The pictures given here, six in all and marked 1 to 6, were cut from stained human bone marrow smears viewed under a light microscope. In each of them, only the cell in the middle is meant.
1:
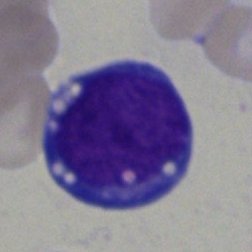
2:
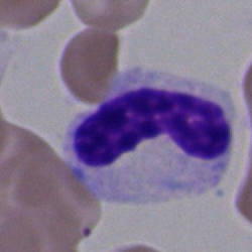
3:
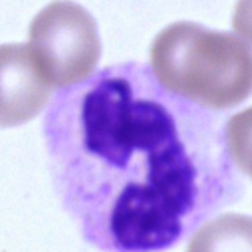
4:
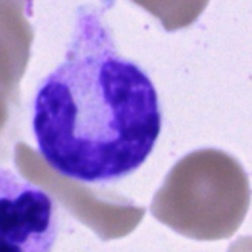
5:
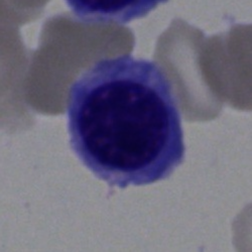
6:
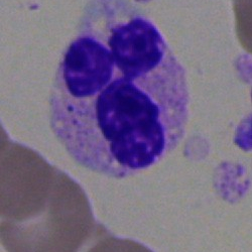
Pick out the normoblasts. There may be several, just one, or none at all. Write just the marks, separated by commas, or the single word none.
5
